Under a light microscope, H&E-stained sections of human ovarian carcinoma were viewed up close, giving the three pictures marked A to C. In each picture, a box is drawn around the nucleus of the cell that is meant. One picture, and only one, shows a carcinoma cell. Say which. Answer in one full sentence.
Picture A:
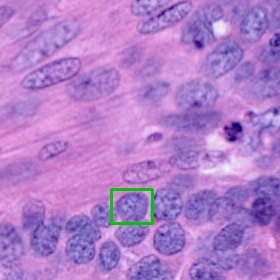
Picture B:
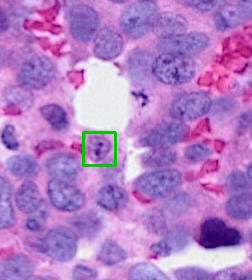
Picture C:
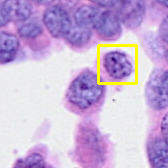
The cell in picture A is the carcinoma cell.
